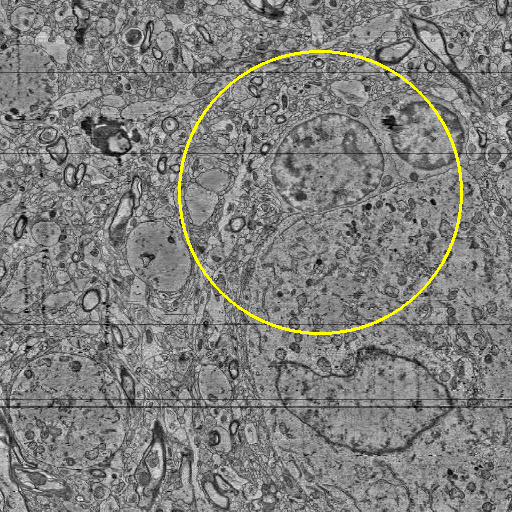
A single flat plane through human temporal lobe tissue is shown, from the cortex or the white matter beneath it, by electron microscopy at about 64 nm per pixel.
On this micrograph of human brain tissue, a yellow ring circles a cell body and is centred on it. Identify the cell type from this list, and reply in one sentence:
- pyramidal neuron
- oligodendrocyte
The cell at the centre is an oligodendrocyte.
